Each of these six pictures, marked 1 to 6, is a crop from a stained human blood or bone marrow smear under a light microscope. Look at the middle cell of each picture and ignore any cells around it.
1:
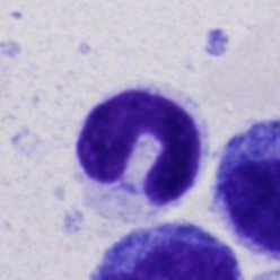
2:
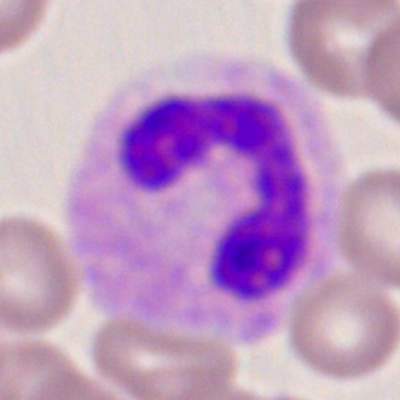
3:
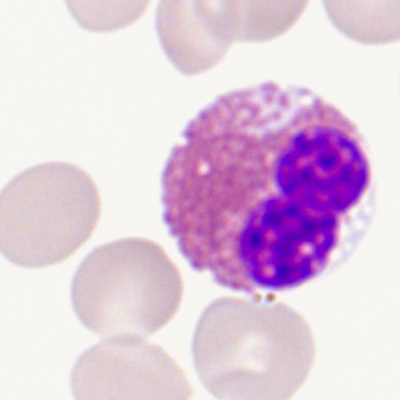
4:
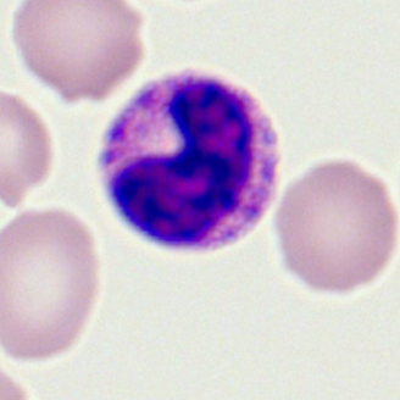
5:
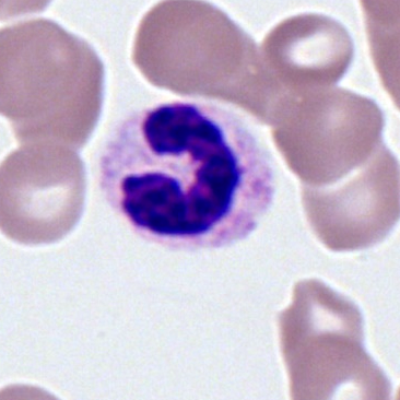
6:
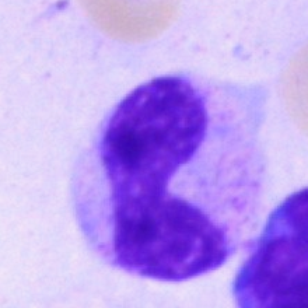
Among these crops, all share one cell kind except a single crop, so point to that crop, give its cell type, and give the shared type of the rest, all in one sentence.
Crop 3 is not like the others: it is an eosinophil, and they are band neutrophils.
